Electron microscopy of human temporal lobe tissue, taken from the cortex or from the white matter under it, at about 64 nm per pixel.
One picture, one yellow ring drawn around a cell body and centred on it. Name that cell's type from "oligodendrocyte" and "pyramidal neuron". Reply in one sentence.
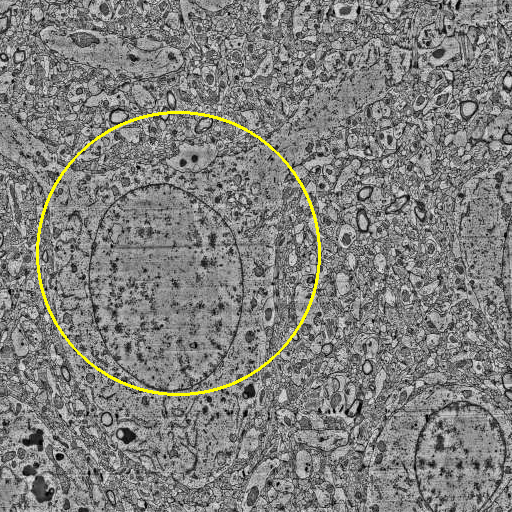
Centred in the ring is a pyramidal neuron.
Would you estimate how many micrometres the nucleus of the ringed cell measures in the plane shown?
In this plane, roughly 13 by 10 micrometres.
